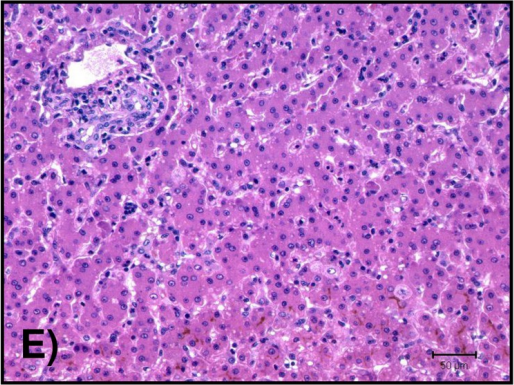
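Liver tissue made of plates of polygonal hepatocytes with pink granular cytoplasm and round central nuclei, separated by narrow sinusoidal spaces. At the upper left a small vessel is surrounded by a cluster of small dark nuclei, and no clear fat vacuoles are seen in the cells.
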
